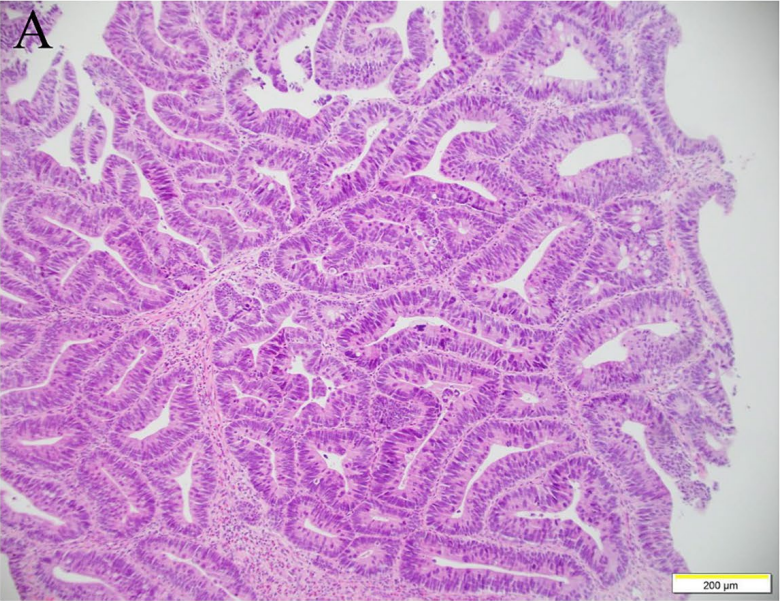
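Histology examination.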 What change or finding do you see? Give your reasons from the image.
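Gland lining shows elongated, crowded nuclei stacked in several tiers. Nuclei extend from the base toward the lumen rather than forming a single basal row.
Answer: increased in layers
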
